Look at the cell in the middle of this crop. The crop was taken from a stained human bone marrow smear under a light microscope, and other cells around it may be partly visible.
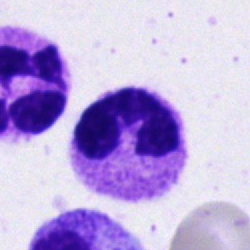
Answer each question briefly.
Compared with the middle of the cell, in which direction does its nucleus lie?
top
